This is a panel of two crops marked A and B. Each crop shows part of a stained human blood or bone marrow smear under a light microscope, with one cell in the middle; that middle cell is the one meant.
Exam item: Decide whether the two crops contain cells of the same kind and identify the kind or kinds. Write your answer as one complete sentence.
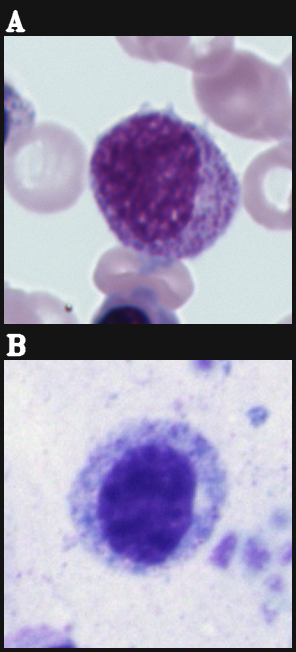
Yes, both crops, not just one, show myelocytes.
